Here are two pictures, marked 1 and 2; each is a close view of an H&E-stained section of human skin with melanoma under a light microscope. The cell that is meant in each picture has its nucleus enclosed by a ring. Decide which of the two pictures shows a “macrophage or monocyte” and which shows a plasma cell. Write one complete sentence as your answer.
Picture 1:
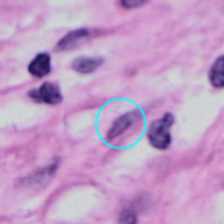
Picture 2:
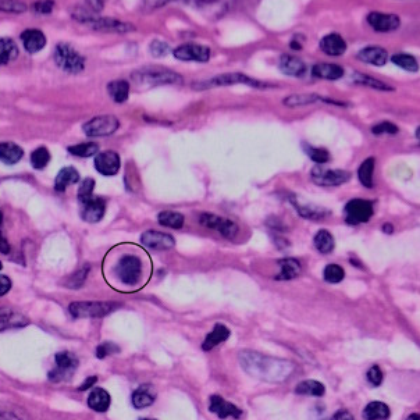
Picture 1 shows a “macrophage or monocyte” and picture 2 shows a plasma cell.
